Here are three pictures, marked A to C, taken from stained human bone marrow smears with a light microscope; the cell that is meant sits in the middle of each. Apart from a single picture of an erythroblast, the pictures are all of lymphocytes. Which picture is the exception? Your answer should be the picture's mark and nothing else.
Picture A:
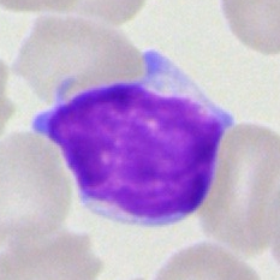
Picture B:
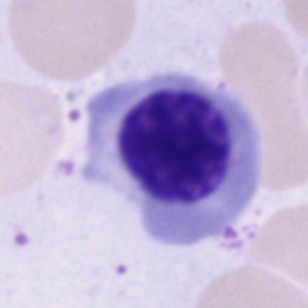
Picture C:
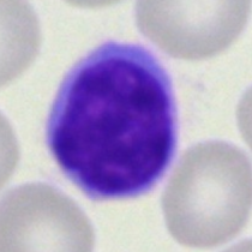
B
